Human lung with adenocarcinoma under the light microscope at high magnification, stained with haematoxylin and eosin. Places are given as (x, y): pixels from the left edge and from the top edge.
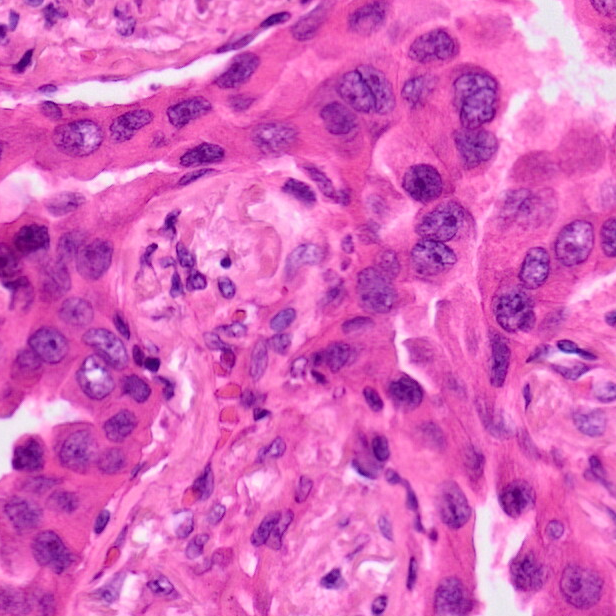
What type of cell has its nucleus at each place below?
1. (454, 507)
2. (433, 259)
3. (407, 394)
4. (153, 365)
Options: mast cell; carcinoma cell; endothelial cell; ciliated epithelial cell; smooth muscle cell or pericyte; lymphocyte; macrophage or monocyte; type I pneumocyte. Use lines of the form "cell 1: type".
cell 1: carcinoma cell
cell 2: carcinoma cell
cell 3: carcinoma cell
cell 4: lymphocyte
